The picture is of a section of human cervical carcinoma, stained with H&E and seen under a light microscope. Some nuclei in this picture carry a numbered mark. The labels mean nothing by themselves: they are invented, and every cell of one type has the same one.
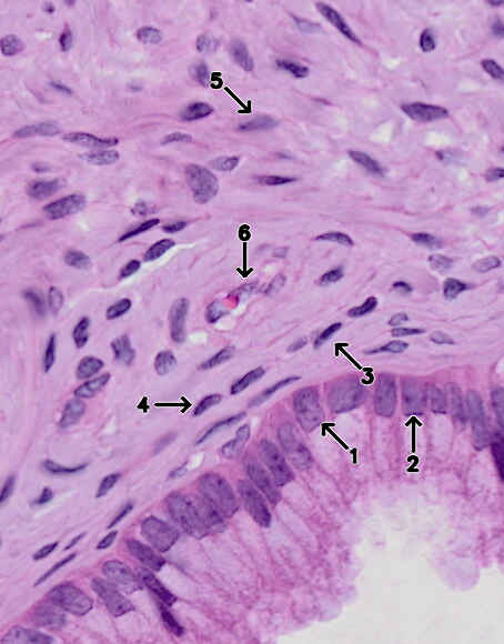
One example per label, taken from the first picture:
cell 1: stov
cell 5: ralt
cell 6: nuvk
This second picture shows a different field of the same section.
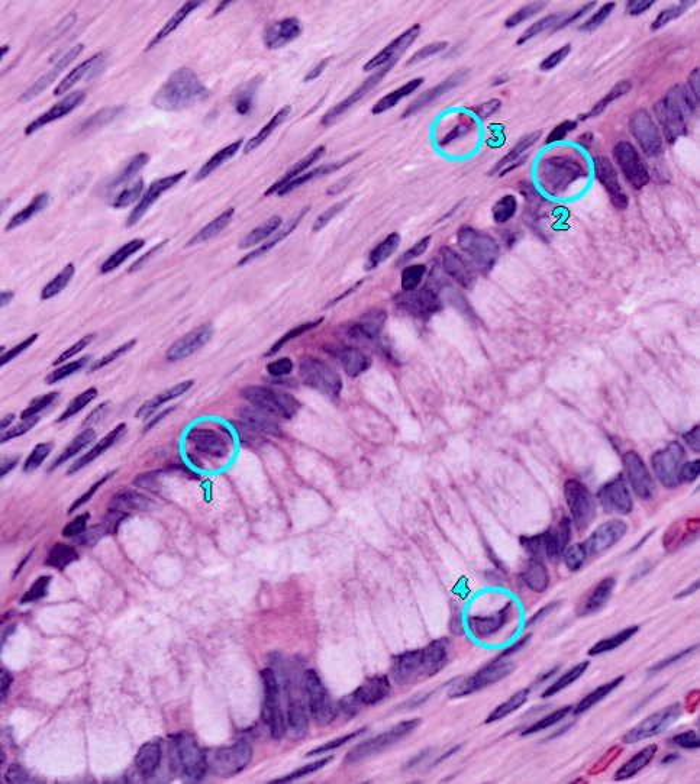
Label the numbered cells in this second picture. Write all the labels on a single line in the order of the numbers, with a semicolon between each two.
stov; stov; nuvk; stov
